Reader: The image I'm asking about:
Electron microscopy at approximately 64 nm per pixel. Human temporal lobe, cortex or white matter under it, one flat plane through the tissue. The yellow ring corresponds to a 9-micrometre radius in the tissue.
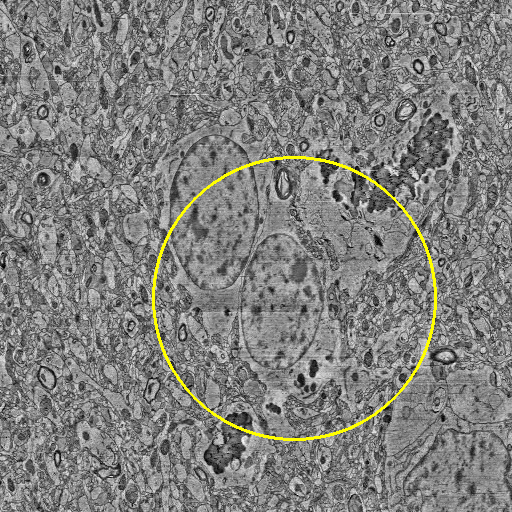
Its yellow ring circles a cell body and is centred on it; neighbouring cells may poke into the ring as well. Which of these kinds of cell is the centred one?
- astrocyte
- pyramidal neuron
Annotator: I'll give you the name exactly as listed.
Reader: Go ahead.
astrocyte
